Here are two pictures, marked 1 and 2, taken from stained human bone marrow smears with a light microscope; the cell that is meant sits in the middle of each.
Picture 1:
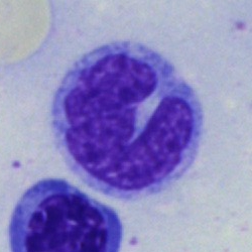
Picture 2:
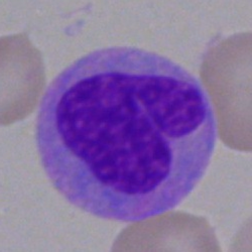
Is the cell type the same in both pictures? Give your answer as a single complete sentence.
Yes, both cells are monocytes.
